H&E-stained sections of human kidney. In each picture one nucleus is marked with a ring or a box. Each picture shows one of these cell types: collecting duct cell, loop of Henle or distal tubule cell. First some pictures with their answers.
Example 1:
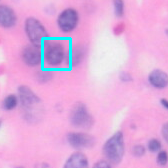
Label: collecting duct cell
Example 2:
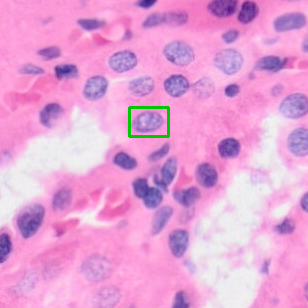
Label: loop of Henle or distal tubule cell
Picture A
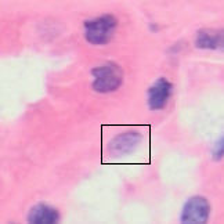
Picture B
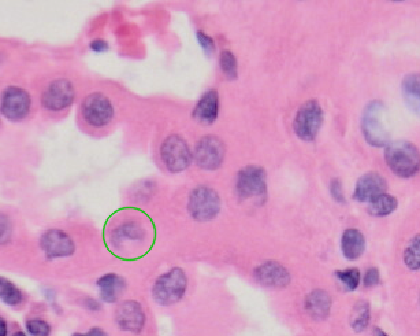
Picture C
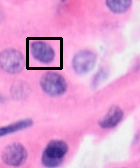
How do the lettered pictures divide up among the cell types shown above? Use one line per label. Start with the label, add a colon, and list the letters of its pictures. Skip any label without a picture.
loop of Henle or distal tubule cell: A, B, C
